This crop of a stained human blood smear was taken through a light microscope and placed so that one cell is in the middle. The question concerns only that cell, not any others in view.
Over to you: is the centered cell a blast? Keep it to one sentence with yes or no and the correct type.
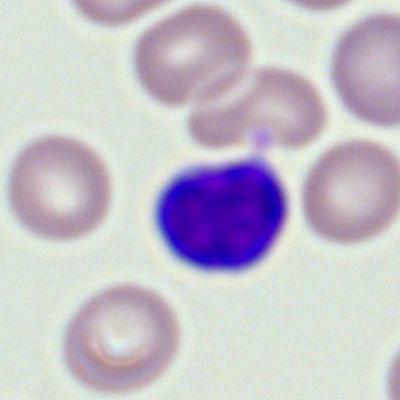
No, the cell located centrally is a lymphocyte rather than a blast.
